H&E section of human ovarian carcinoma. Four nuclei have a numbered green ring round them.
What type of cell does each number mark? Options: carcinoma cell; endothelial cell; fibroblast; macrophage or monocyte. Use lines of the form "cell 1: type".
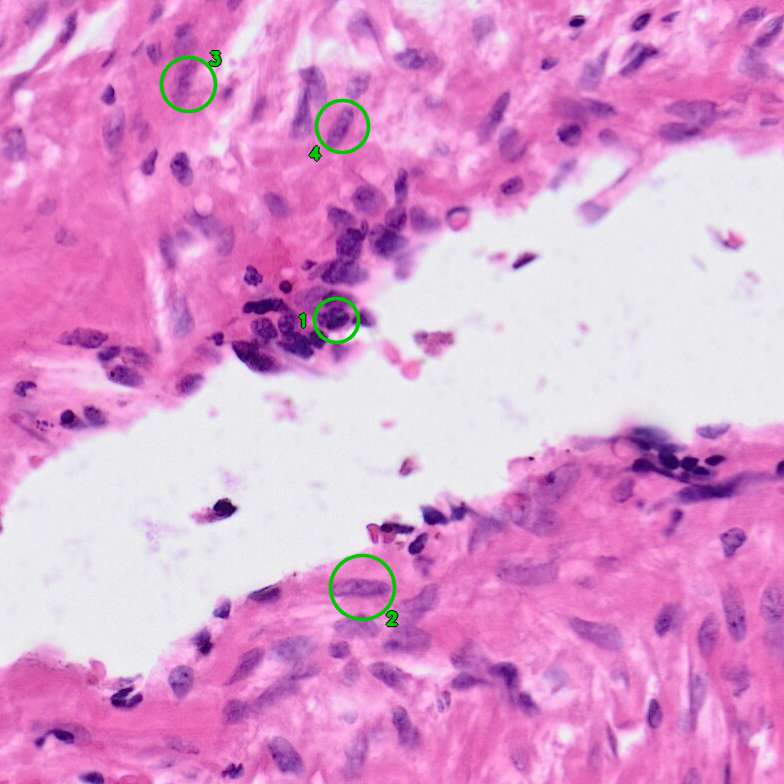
cell 1: carcinoma cell
cell 2: fibroblast
cell 3: fibroblast
cell 4: fibroblast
